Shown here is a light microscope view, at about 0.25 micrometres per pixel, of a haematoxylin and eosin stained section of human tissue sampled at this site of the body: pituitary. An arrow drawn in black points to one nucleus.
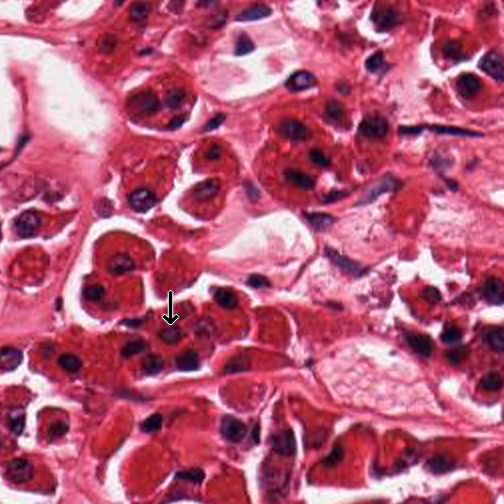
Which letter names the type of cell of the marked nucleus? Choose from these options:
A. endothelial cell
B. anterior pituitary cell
B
